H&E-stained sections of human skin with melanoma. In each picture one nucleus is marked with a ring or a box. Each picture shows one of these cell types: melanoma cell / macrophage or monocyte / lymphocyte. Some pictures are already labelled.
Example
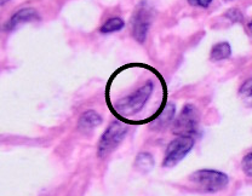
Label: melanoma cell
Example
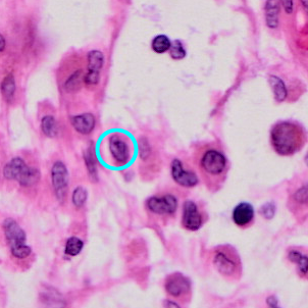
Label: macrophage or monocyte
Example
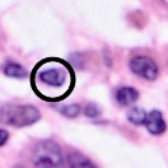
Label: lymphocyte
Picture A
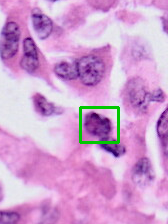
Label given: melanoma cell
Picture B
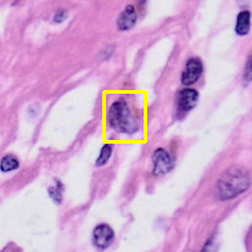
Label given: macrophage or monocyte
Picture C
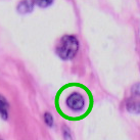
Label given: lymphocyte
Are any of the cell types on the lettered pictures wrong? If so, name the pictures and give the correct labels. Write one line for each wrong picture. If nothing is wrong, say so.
All labels are correct.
